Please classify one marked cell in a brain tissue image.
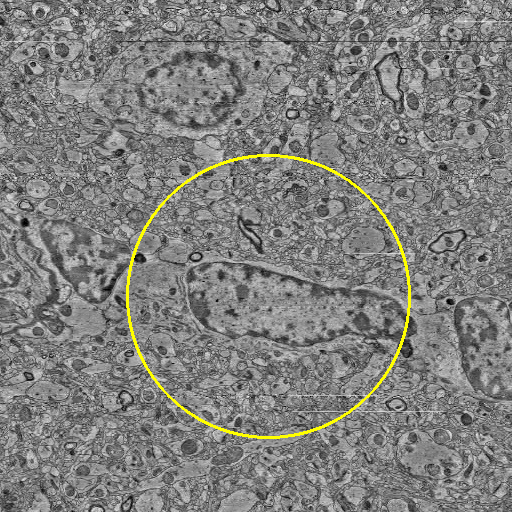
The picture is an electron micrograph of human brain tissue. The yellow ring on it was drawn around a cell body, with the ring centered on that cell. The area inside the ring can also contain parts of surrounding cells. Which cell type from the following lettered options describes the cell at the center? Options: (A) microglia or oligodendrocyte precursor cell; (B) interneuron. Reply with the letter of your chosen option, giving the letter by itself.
A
